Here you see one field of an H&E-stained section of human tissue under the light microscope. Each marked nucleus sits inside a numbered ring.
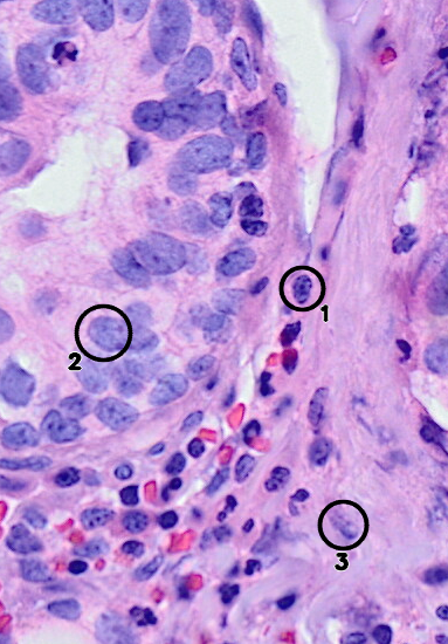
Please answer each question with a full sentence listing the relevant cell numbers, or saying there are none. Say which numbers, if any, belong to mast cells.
The nucleus numbered 1 is the only one that belongs to a mast cell.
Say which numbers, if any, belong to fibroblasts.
Only the cell with number 3 is a fibroblast.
